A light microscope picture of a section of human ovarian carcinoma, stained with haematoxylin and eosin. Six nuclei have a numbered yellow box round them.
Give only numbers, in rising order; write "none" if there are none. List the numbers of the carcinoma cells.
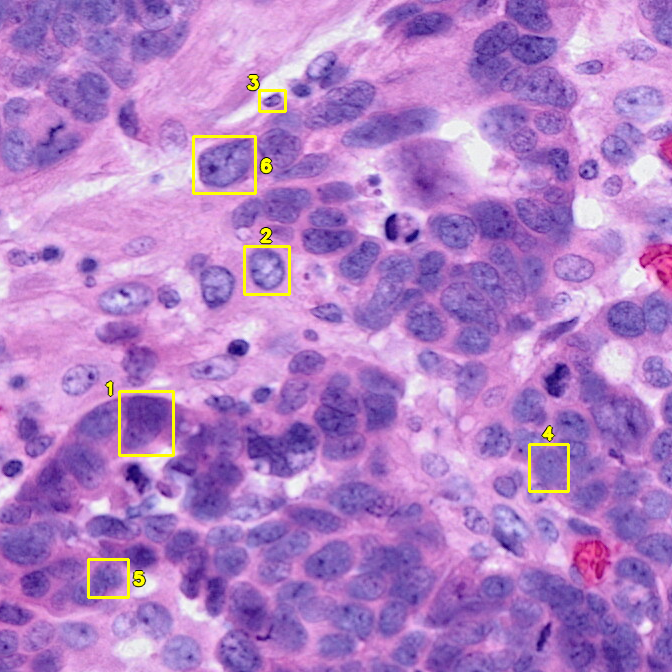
1, 4, 5, 6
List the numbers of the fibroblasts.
2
